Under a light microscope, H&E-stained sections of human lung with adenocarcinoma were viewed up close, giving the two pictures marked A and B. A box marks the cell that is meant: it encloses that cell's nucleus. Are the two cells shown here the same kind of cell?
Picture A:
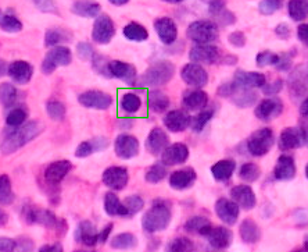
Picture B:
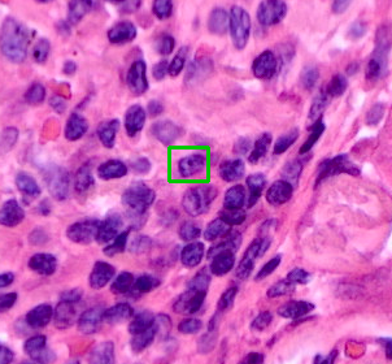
yes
